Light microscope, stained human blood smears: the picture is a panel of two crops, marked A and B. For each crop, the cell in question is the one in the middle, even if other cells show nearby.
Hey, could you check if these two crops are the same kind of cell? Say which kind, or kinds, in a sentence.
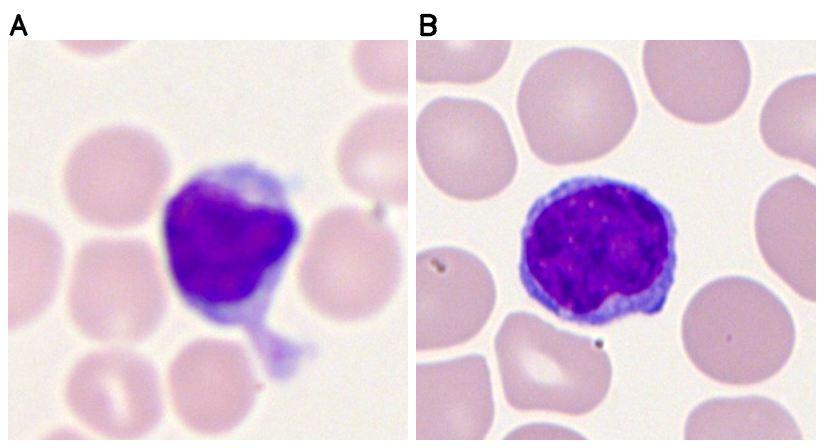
Yes, what both crops show is lymphocytes.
